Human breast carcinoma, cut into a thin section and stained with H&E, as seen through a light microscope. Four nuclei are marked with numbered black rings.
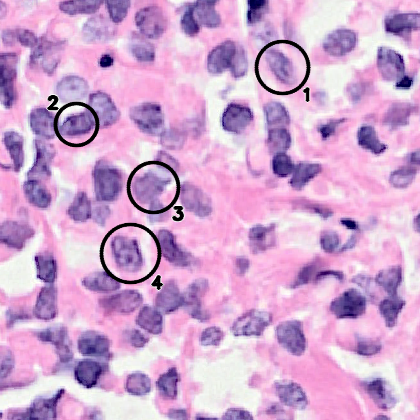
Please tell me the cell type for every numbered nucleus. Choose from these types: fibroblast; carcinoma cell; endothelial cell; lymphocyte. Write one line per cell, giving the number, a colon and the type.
1: endothelial cell
2: carcinoma cell
3: carcinoma cell
4: carcinoma cell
